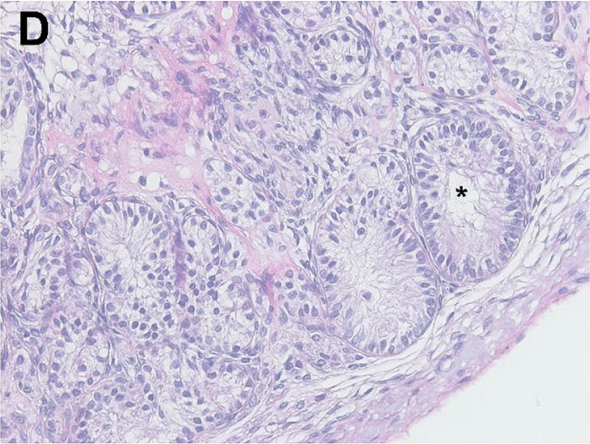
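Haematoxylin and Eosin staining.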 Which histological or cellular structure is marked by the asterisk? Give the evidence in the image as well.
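The asterisk sits in a small clear space at the centre of a round tubule-like profile. Cells with elongated nuclei line the profile's edge around the clear centre.
Conclusion: lumen formation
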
